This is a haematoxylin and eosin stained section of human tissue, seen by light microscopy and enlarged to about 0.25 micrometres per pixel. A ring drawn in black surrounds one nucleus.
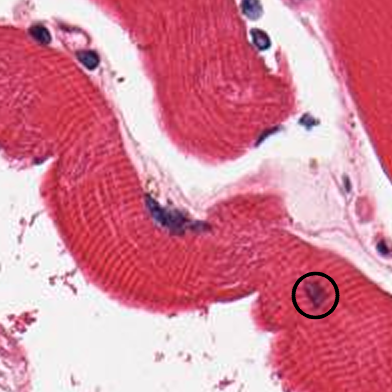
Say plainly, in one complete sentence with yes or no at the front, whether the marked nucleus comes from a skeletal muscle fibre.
Yes, the nucleus that is marked belongs to a skeletal muscle fibre.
